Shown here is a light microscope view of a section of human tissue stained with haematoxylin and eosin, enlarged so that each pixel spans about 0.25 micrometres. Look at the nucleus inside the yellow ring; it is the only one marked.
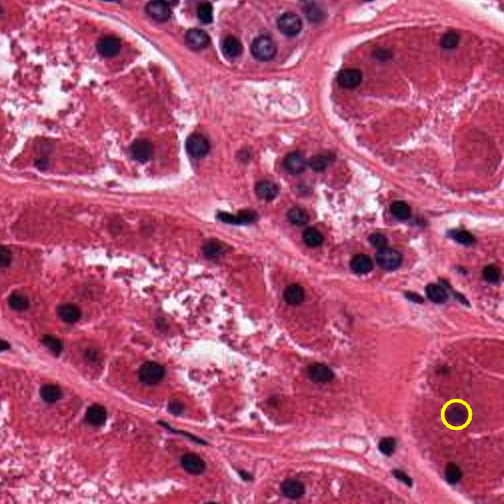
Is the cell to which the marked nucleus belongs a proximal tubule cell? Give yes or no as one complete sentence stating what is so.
Yes, the cell that holds the marked nucleus is a proximal tubule cell.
